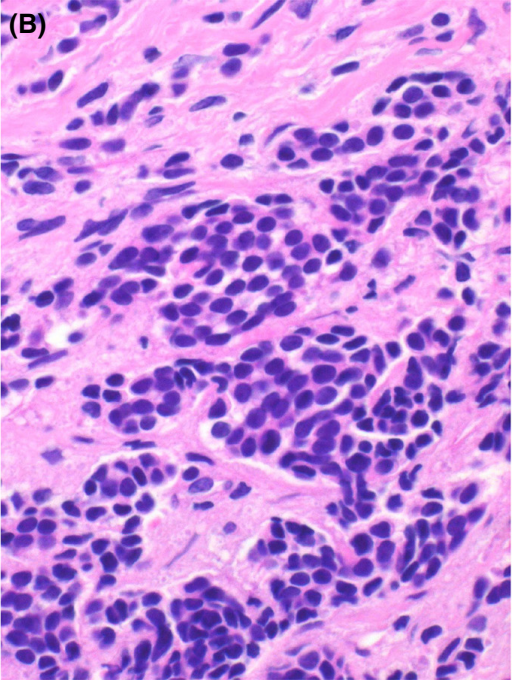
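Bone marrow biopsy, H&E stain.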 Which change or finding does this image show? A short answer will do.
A: Cell nests of metastatic carcinoma.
